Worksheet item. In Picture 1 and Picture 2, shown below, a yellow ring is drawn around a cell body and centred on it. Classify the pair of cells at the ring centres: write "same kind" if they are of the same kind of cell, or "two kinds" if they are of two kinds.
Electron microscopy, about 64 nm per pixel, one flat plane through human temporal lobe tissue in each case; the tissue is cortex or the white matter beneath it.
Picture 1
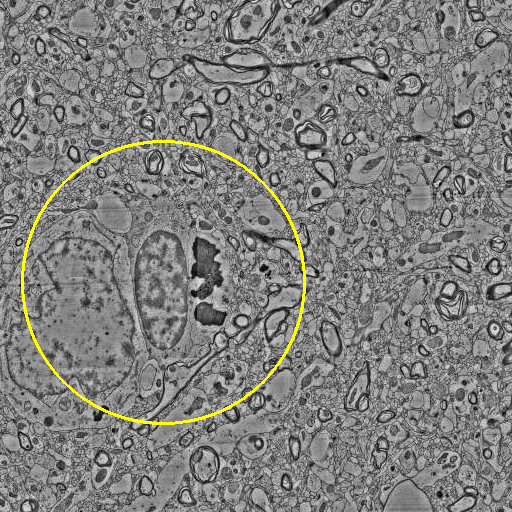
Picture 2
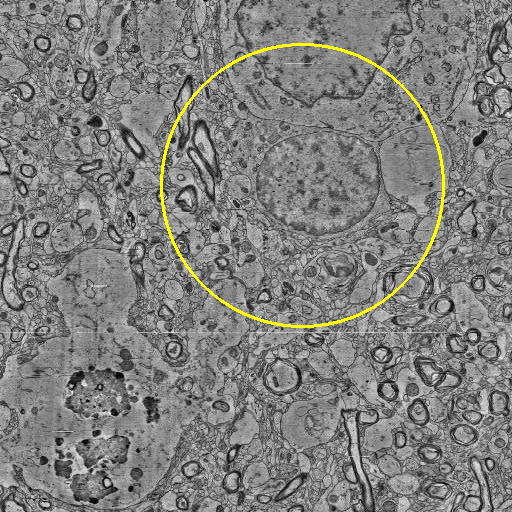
same kind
